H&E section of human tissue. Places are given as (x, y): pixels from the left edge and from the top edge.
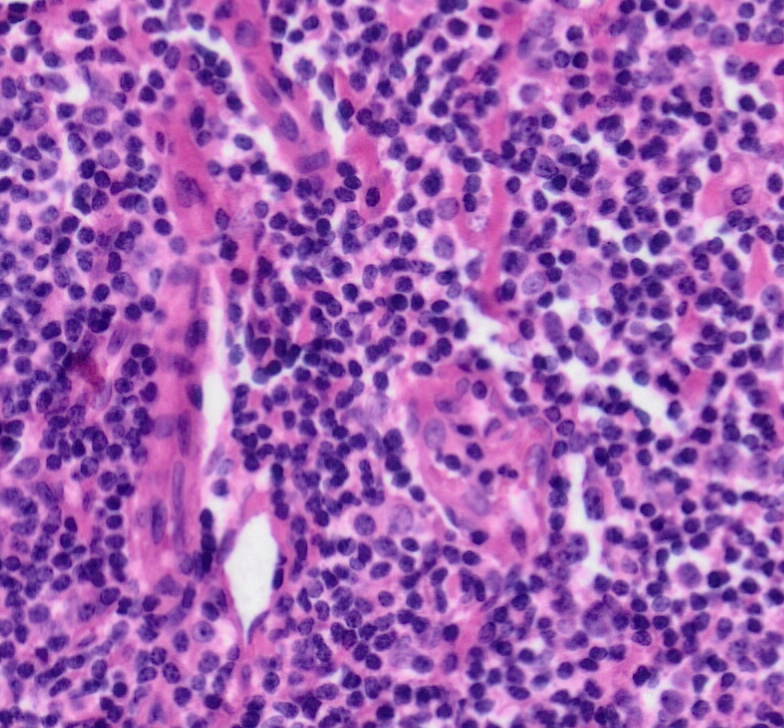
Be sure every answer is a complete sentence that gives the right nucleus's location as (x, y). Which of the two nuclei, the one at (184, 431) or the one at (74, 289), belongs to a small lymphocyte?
Which one belongs to a small lymphocyte? The nucleus at (74, 289) does.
